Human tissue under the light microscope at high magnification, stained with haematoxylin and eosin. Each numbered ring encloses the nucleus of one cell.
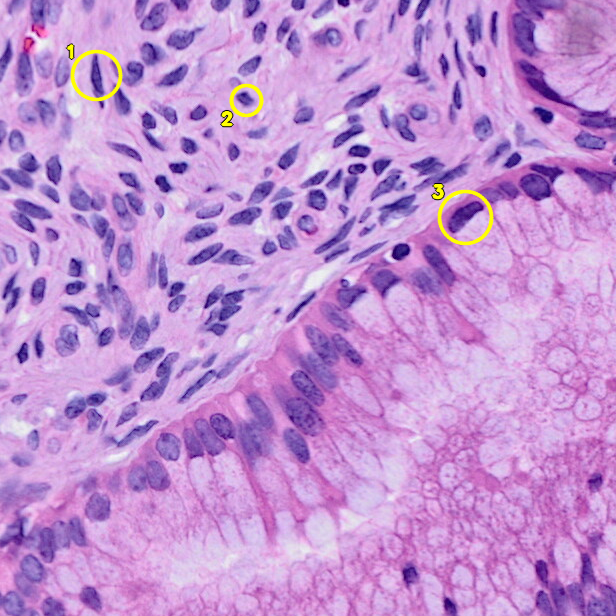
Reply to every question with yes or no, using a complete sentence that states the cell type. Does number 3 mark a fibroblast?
No, at number 3 sits a secretory epithelial cell, not a fibroblast.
